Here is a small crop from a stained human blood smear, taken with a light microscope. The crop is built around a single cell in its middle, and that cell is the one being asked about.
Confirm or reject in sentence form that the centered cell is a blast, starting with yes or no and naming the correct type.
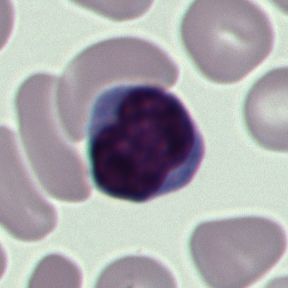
No, the cell in the middle of the crop counts as a lymphocyte and not as a blast.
